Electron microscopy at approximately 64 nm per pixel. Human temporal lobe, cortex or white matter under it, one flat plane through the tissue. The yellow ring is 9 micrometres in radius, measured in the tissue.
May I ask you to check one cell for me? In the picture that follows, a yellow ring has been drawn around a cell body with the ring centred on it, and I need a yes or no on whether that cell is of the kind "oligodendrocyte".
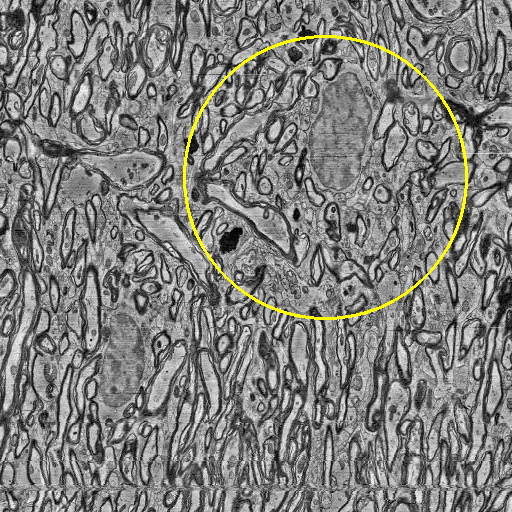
Yes, it is that kind of cell.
